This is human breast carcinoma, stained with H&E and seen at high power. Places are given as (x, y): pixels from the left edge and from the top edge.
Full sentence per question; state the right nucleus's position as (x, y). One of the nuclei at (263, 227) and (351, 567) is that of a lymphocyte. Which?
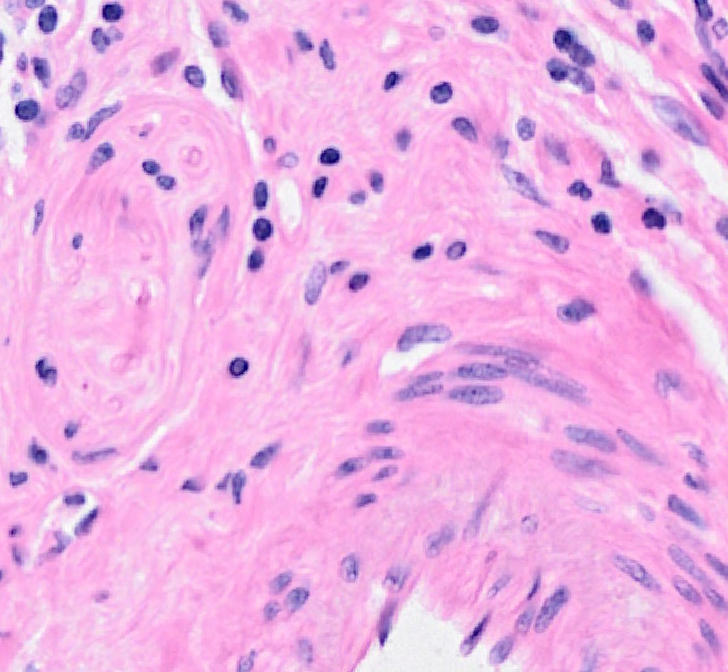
Of the two nuclei, that at (263, 227) is the nucleus of a lymphocyte.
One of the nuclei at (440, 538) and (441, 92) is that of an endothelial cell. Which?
The nucleus located at (440, 538) is the one held within an endothelial cell.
